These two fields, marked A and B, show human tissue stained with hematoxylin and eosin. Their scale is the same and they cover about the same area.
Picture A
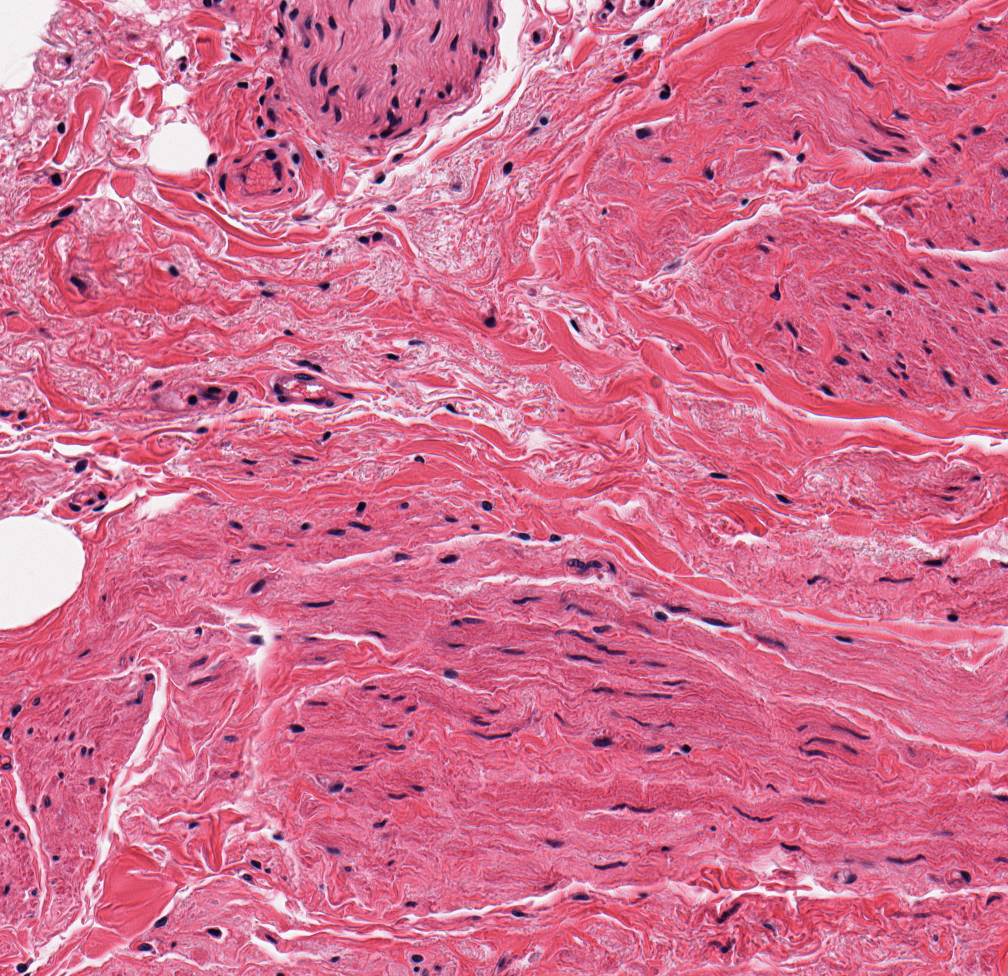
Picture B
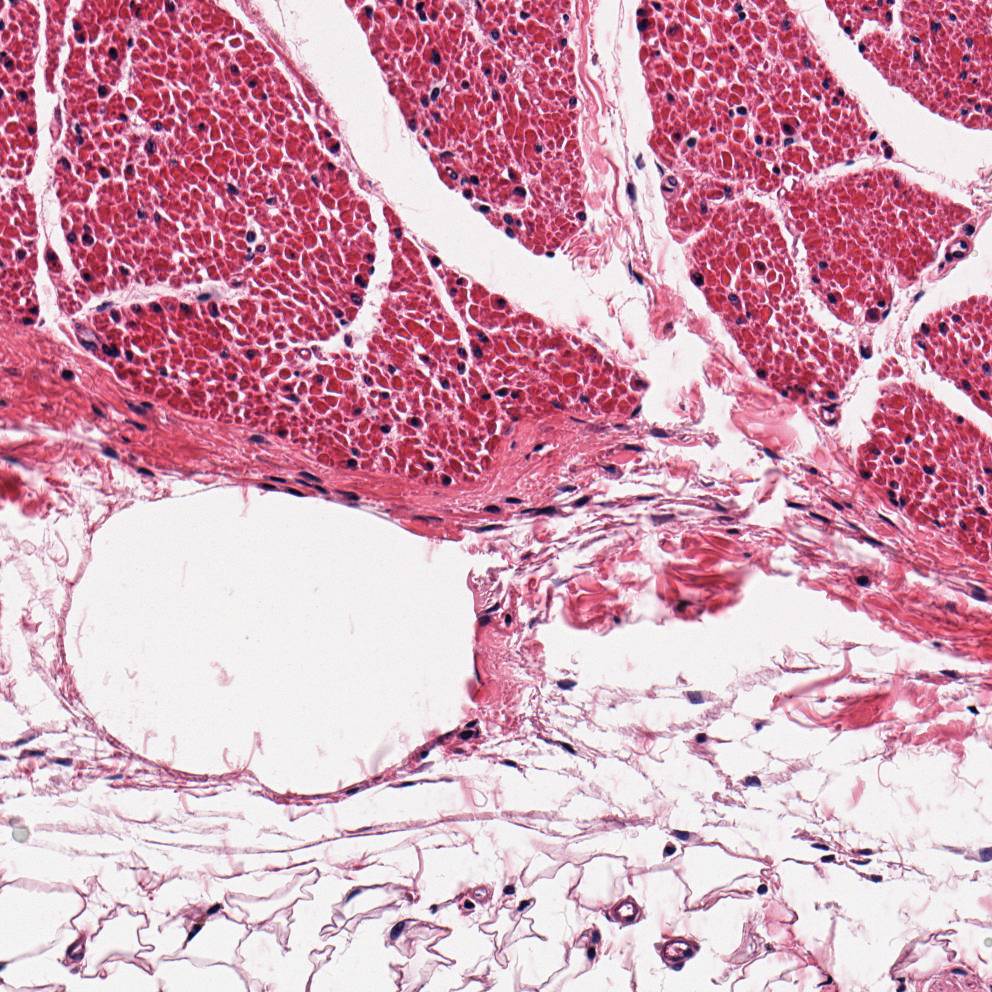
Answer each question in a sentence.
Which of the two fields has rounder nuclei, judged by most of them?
It is picture B whose nuclei are the rounder.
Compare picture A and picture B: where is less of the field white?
Picture A has less white space.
